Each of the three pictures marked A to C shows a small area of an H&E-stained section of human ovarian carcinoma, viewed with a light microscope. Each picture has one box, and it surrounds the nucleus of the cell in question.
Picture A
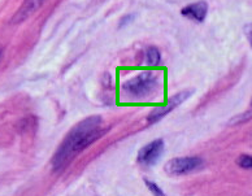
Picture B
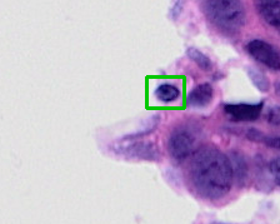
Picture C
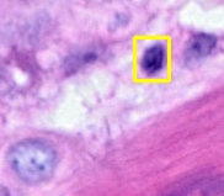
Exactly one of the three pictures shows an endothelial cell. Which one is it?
A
